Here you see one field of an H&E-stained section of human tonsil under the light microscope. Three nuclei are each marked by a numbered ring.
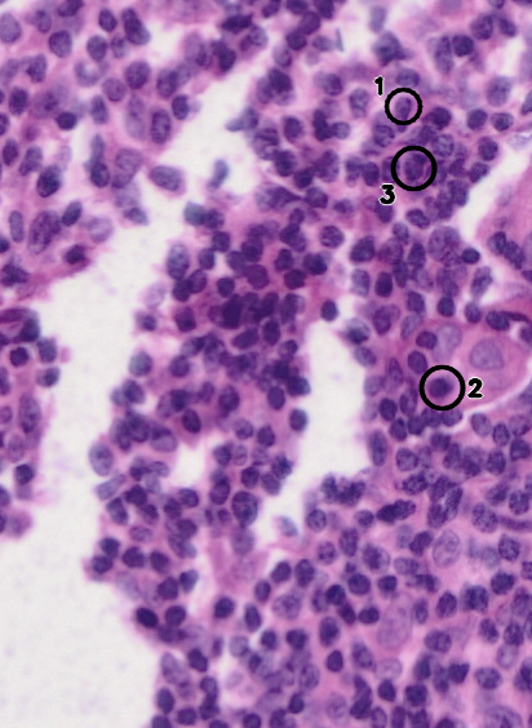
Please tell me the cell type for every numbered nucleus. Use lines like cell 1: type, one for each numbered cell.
cell 1: small lymphocyte
cell 2: endothelial cell
cell 3: small lymphocyte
